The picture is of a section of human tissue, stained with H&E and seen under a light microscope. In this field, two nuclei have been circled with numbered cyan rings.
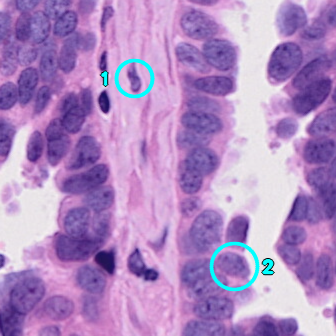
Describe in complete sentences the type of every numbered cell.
Cell 1 is a fibroblast. Cell 2 is a carcinoma cell.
